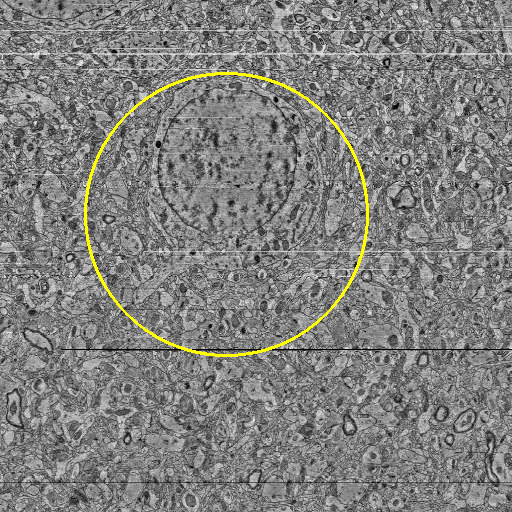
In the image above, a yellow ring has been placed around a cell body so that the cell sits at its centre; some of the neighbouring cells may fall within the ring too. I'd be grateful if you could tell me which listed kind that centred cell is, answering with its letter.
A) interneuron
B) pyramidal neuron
B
